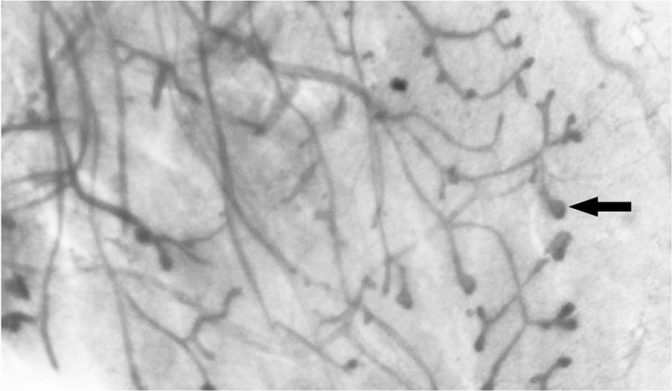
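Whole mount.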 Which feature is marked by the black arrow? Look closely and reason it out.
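Terminal end buds. The arrow points to a dark, bulbous club-shaped swelling at the end of a duct. Many similar swollen ends tip the slender ducts across the panel. The ducts bear few short side branches.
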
